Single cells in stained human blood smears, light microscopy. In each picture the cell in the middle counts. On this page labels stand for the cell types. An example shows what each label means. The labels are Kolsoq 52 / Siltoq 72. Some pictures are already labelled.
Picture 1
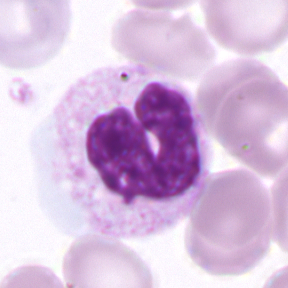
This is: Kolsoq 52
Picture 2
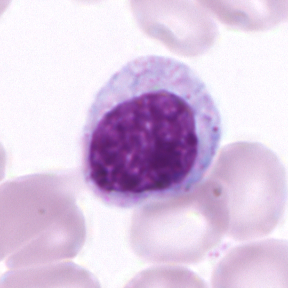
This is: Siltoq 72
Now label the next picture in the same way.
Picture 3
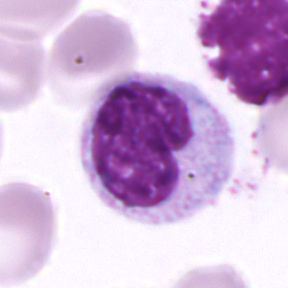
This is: Siltoq 72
